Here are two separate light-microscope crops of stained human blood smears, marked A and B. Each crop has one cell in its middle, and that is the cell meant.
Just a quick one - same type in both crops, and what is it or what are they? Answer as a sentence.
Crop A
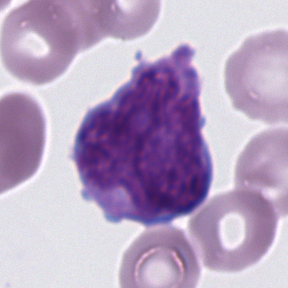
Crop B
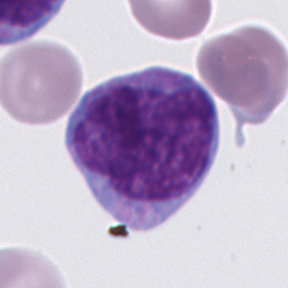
Yes, in the case of both crops, the central cells are atypical promyelocytes.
